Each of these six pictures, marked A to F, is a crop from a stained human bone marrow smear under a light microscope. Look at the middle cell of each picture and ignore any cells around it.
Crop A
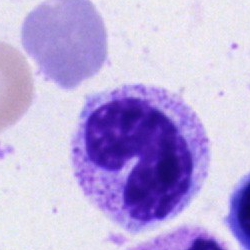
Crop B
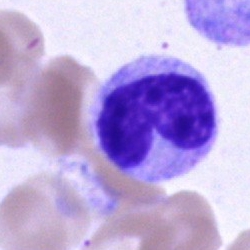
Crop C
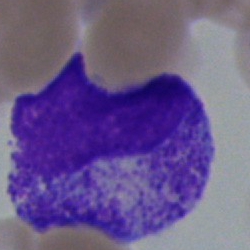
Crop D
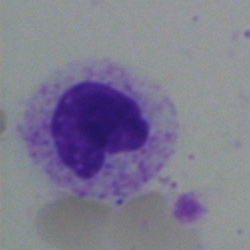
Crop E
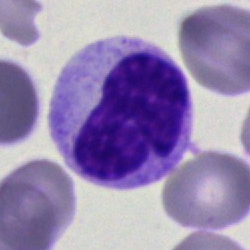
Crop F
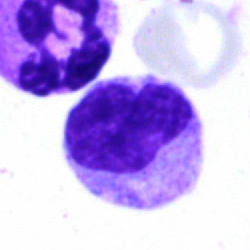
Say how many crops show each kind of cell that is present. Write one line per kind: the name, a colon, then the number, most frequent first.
metamyelocyte: 6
